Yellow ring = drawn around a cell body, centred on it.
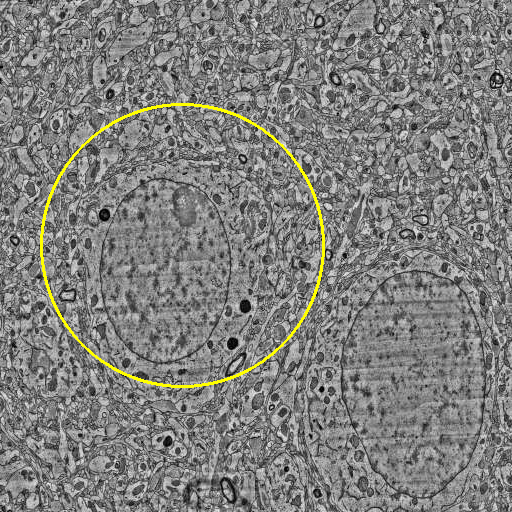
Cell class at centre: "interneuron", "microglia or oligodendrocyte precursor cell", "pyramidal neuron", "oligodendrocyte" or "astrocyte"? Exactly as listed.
pyramidal neuron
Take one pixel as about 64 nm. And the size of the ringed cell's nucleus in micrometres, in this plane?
In this plane, roughly 12 by 8 micrometres.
